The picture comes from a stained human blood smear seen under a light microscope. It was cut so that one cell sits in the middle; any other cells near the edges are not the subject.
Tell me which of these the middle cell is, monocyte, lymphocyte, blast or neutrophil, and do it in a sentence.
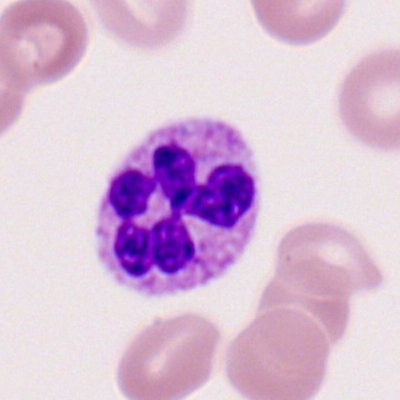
On this slide crop, the central cell is a neutrophil.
